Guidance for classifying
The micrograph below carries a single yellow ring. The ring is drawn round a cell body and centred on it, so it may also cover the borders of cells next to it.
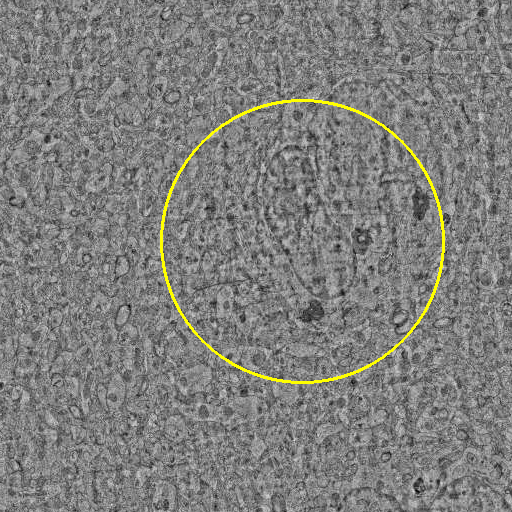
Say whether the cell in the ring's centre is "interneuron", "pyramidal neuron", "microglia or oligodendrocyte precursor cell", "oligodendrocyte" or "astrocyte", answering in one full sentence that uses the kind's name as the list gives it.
Within the yellow ring, a microglial cell or oligodendrocyte precursor cell is the cell whose body sits at the centre.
